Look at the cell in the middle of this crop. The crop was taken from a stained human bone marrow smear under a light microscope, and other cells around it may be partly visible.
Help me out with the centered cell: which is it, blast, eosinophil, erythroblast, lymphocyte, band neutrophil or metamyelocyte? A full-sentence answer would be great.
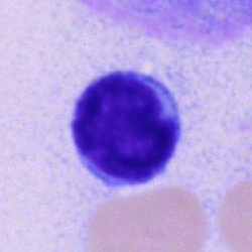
At the middle of the frame sits a lymphocyte.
